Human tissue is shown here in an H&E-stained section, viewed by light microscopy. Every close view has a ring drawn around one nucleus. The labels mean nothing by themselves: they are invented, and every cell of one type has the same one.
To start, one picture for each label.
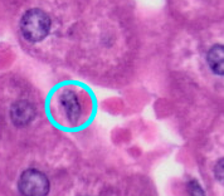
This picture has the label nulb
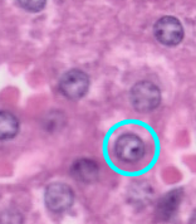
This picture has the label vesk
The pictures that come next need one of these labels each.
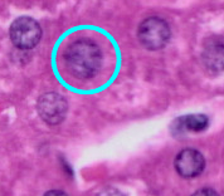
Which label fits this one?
vesk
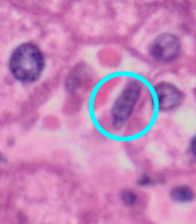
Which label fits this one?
nulb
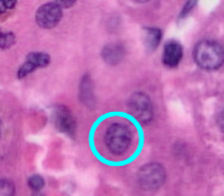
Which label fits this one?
vesk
